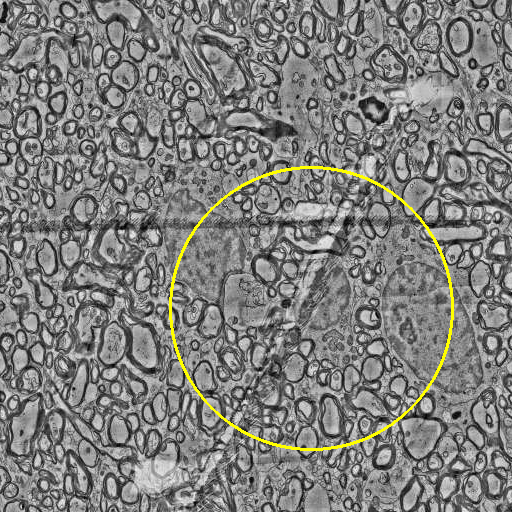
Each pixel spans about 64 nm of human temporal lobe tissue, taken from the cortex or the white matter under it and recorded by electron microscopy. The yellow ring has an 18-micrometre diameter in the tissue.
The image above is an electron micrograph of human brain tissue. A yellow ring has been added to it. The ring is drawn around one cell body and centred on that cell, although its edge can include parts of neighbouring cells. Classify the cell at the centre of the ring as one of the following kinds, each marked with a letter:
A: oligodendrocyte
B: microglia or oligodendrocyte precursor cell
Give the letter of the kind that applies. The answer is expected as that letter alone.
A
